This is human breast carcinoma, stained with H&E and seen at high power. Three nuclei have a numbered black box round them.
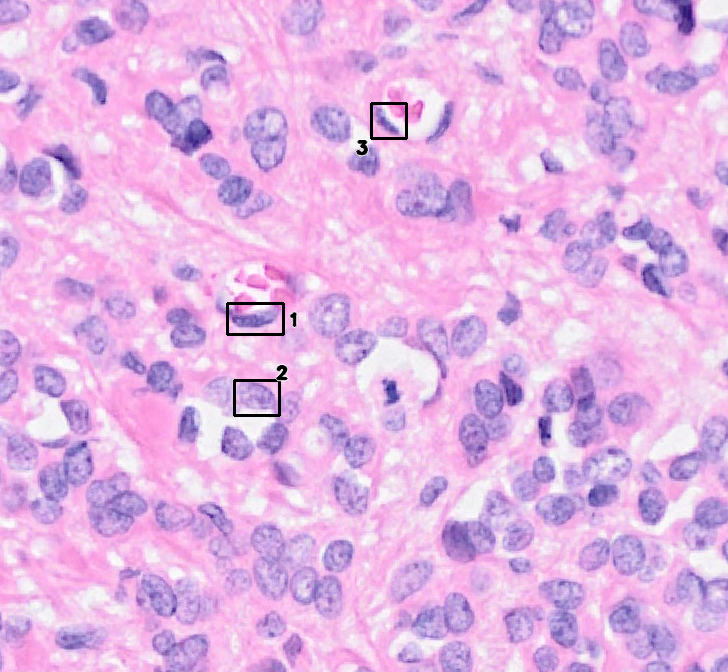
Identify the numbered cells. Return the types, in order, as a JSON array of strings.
["endothelial cell", "carcinoma cell", "endothelial cell"]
